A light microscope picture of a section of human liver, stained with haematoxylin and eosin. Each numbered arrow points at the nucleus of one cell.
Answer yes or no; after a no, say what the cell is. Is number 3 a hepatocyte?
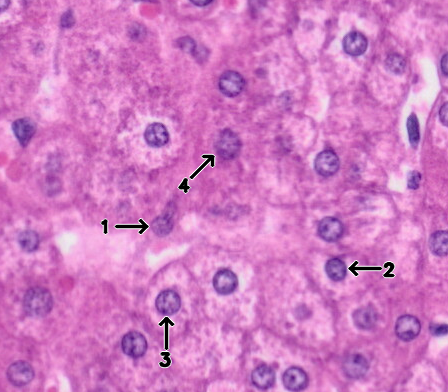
Yes.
